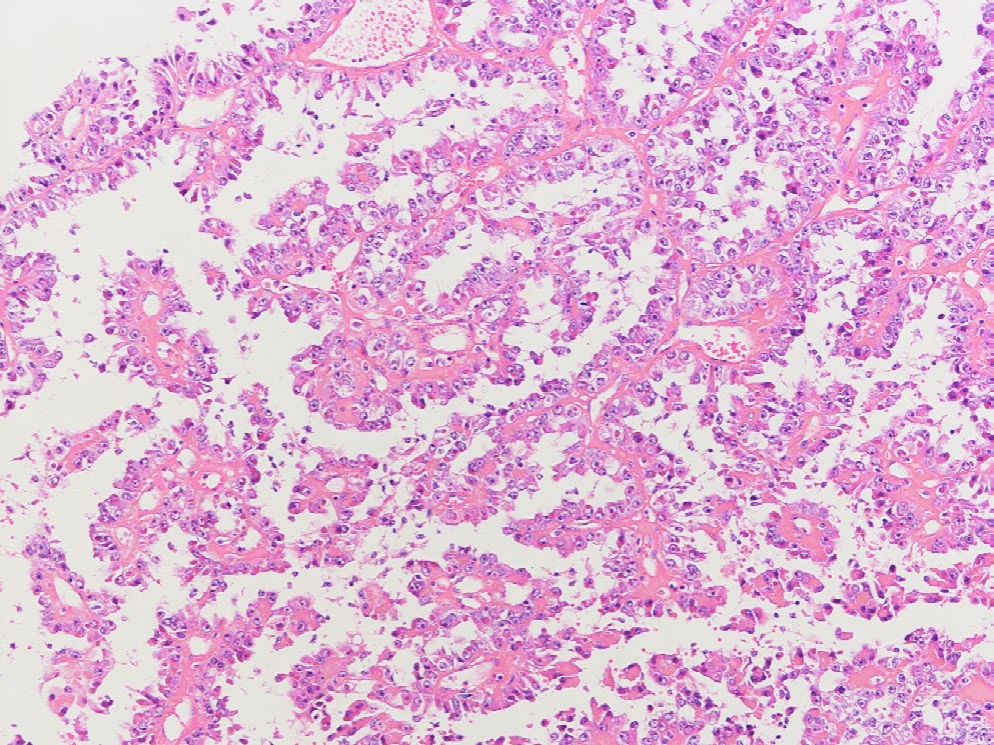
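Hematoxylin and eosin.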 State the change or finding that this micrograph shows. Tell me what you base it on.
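Eosinophilic cytoplasm. The lining cells have pink cytoplasm. The cells are large, with ample cytoplasm around the nuclei.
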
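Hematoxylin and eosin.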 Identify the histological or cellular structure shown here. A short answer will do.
Papillae.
